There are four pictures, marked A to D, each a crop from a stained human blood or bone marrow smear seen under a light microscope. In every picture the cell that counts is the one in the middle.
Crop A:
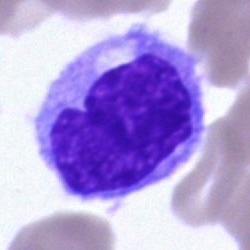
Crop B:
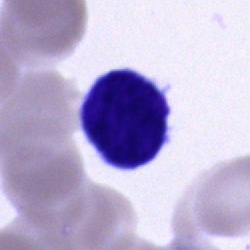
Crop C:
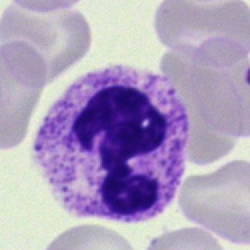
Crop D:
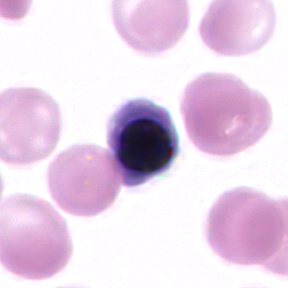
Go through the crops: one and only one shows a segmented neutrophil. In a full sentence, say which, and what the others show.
On the one hand crop C shows a segmented neutrophil; on the other, crop A is a monocyte, crop B is a lymphocyte and crop D is an erythroblast.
